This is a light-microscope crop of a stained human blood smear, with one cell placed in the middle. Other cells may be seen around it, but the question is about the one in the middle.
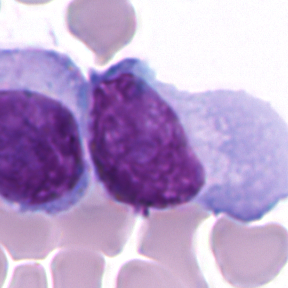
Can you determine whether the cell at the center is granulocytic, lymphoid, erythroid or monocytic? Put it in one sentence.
In lineage, the cell at the crop's center is lymphoid.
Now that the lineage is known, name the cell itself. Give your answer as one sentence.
The centrally positioned cell in the crop represents a plasma cell.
